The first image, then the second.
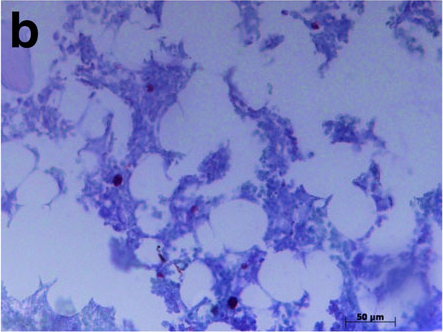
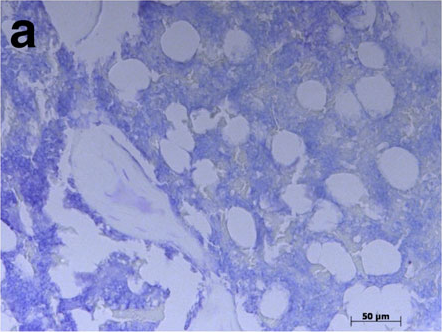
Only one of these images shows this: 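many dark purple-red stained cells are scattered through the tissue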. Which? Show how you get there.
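Second image: the tissue is stained evenly blue with hardly any dark purple-red cells. First image: several dark purple-red cells are scattered among the blue-stained cellular strands.
Hence: the first image.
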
